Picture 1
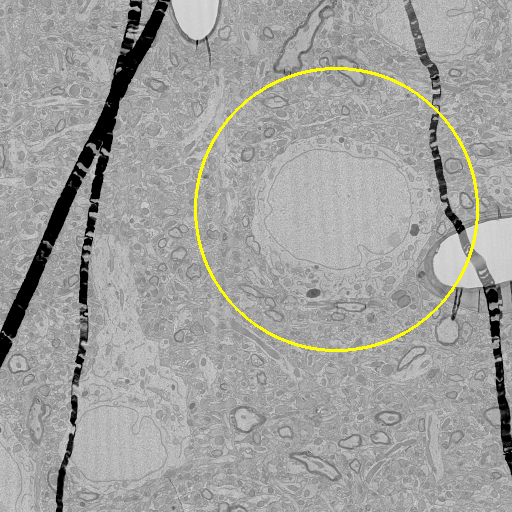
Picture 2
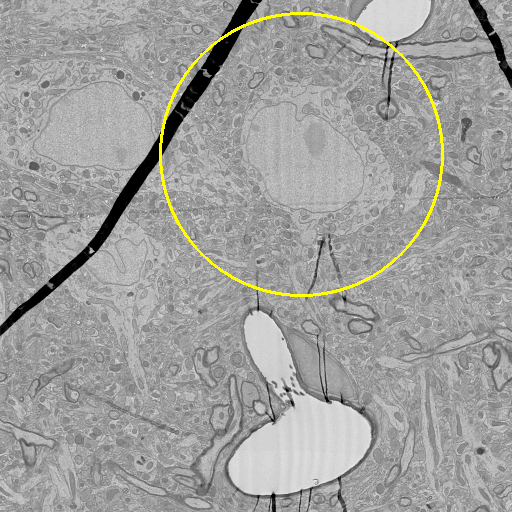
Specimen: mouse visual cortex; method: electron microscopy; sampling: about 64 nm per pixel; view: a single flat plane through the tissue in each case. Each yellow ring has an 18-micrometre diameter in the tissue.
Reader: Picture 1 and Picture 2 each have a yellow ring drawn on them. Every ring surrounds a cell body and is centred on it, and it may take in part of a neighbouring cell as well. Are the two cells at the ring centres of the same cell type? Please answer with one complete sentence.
Yes, both cells are of the same cell type.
